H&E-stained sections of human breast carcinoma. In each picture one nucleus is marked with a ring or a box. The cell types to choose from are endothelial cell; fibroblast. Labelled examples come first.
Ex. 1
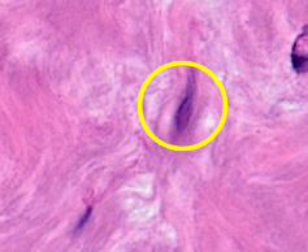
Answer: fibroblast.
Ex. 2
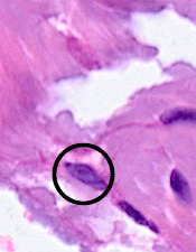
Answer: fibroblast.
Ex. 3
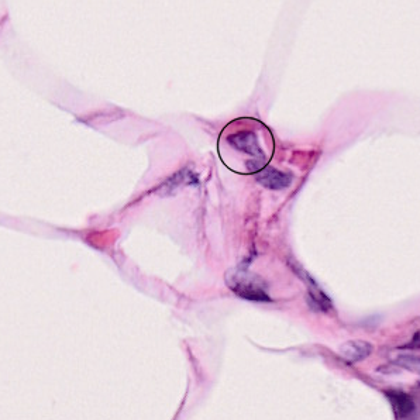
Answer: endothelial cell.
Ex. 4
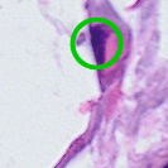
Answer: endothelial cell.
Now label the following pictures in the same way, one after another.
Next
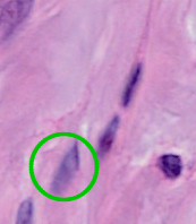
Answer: fibroblast.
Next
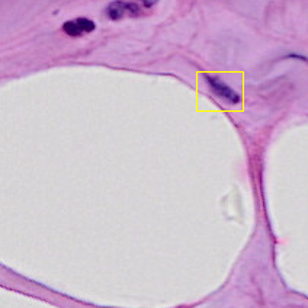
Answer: fibroblast.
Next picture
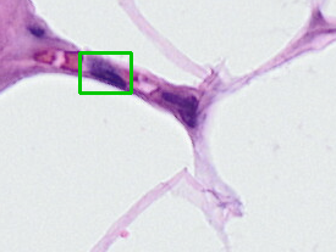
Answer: endothelial cell.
